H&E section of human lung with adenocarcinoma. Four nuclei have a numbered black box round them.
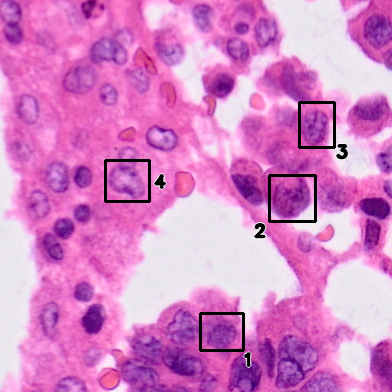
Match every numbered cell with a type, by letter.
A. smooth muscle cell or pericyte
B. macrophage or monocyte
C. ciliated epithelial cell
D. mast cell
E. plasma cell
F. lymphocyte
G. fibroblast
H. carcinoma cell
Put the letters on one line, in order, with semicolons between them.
H; H; H; B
